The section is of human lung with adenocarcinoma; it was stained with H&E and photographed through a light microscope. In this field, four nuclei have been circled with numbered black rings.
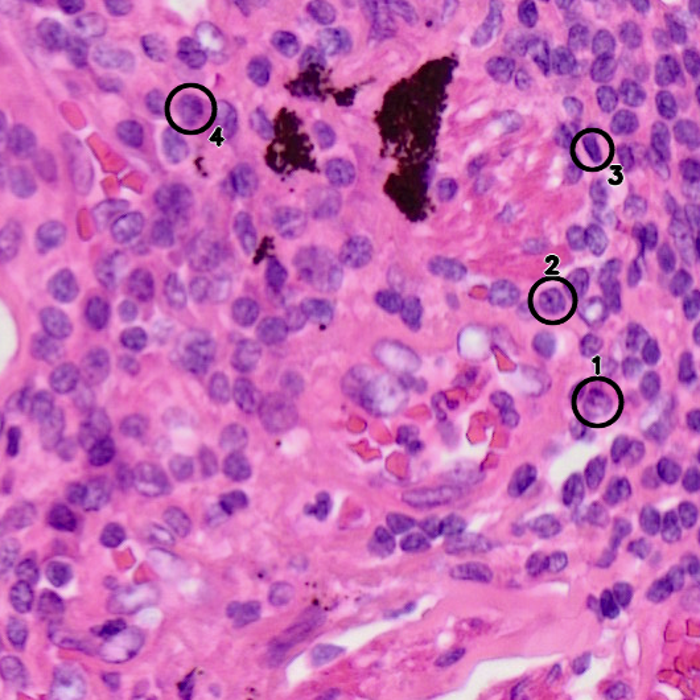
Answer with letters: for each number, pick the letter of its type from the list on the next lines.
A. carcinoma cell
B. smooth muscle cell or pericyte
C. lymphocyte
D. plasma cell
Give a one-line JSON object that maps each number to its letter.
{"1": "C", "2": "C", "3": "C", "4": "D"}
